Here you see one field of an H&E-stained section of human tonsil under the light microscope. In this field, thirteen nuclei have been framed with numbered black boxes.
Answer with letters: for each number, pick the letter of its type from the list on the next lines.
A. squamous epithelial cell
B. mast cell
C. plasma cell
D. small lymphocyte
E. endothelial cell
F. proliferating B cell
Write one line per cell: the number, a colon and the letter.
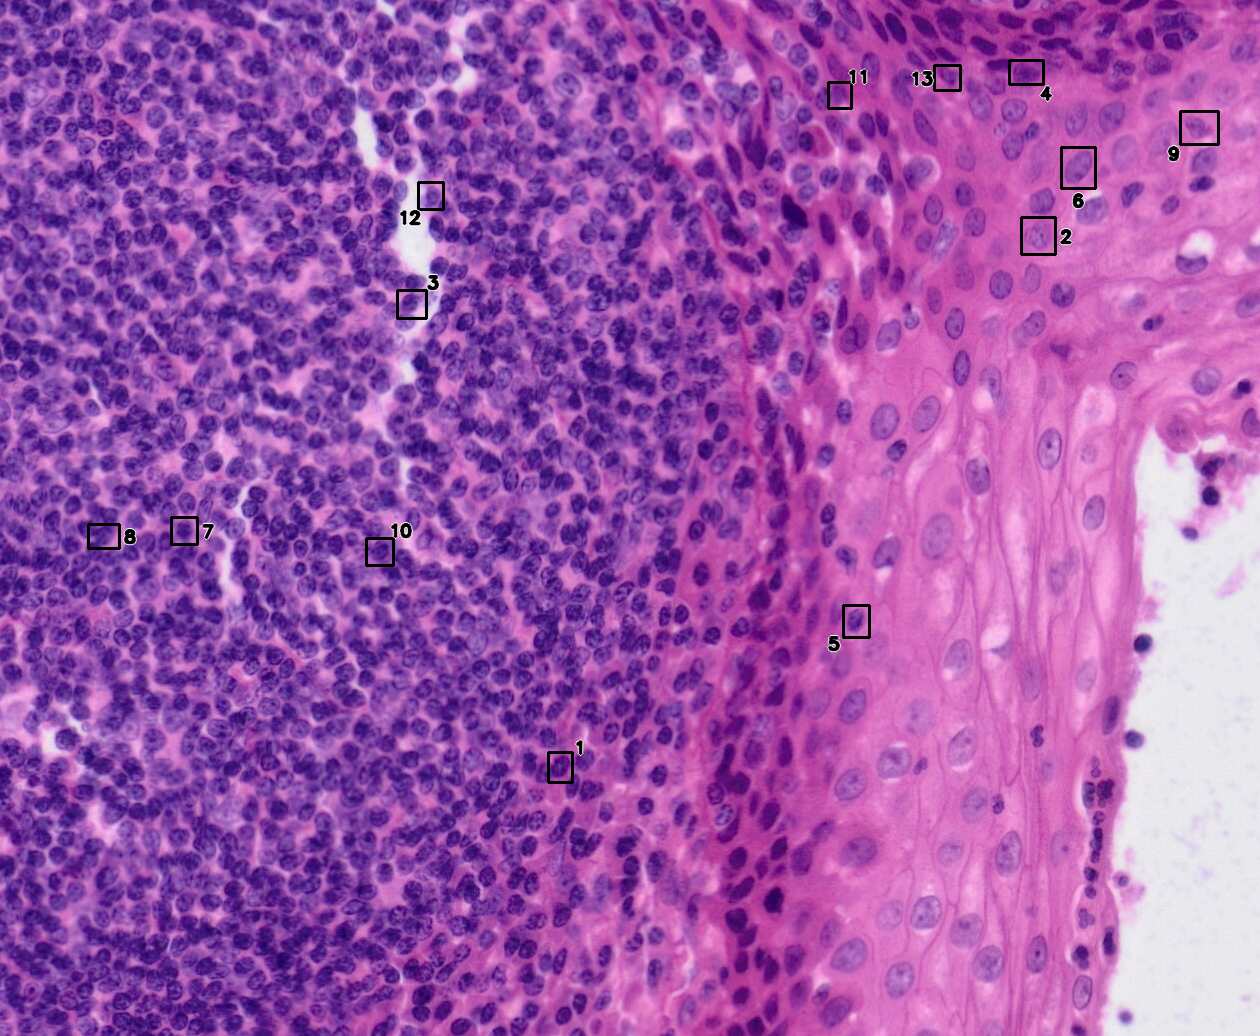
1: C
2: A
3: D
4: A
5: A
6: A
7: D
8: D
9: A
10: D
11: A
12: D
13: A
